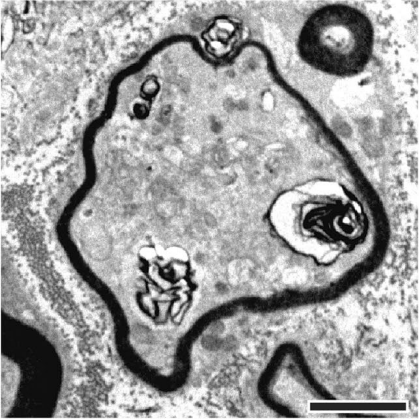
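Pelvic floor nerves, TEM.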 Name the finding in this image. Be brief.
Thin myelin on large myelinated axons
